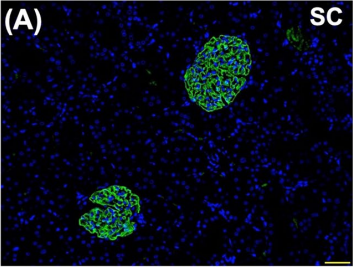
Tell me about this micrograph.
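Two rounded glomeruli stand out in kidney tissue, their tufts densely traced by bright green lines that follow the winding capillary loops along their outer surfaces. Within each tuft, blue nuclei sit between the green contours.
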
